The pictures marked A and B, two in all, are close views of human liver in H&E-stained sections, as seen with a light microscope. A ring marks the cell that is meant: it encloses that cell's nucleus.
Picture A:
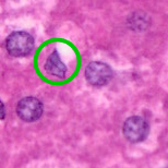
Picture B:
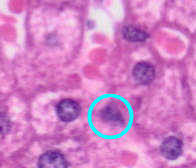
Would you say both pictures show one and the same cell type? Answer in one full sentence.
Yes, the two pictures both show endothelial cells.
